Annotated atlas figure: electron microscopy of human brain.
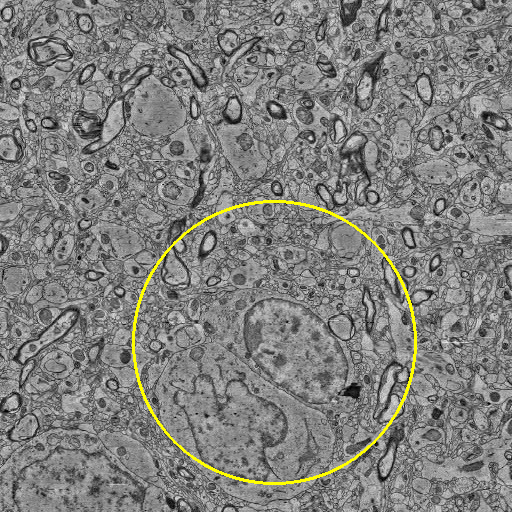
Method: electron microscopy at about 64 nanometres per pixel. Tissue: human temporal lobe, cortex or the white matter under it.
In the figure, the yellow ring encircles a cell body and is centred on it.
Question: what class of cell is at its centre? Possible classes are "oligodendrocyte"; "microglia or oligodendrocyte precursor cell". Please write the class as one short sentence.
The yellow ring is drawn around an oligodendrocyte.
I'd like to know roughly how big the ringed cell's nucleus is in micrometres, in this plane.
About 8 by 5 micrometres; in this plane the nucleus is clearly longer than it is wide.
